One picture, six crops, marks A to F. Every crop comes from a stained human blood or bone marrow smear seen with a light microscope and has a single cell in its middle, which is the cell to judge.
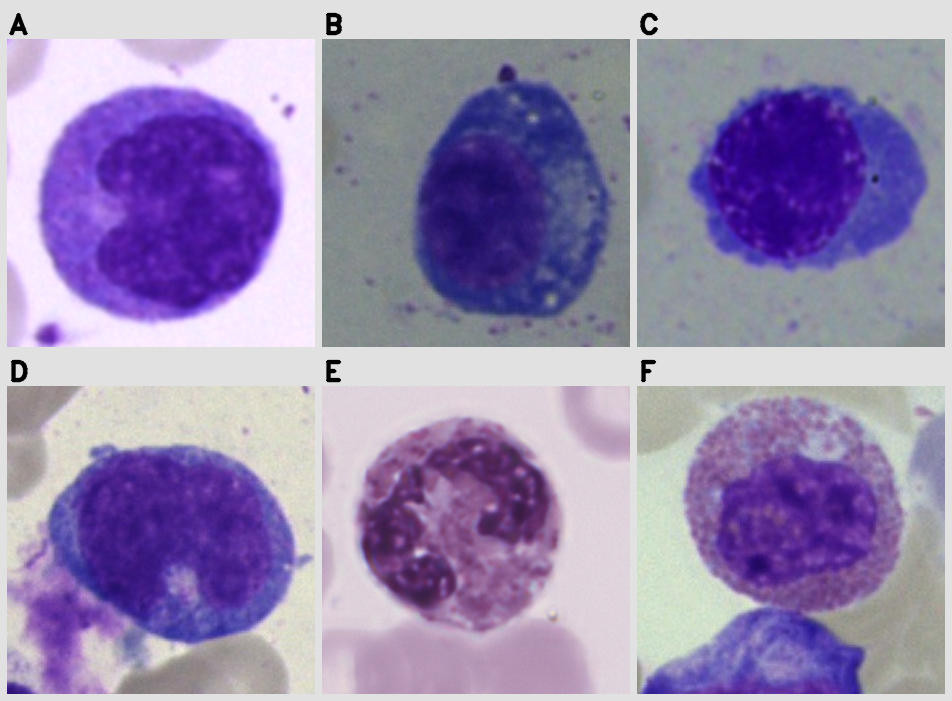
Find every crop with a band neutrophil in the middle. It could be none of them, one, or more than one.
none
